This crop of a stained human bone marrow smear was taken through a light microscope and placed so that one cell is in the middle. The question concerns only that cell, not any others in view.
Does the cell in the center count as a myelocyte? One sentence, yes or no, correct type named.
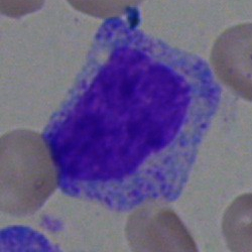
Yes, the middle cell is properly termed a myelocyte.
